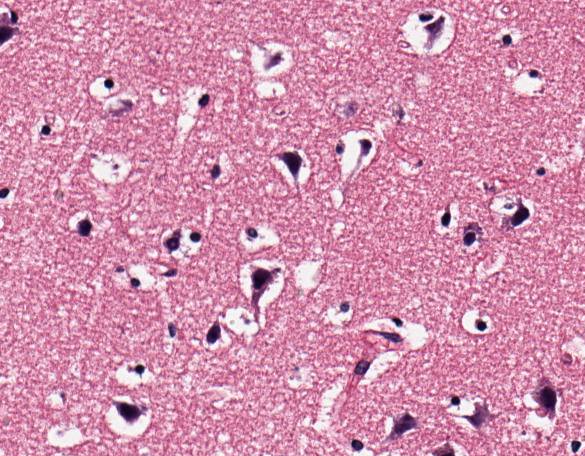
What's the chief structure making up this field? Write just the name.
cerebral cortex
